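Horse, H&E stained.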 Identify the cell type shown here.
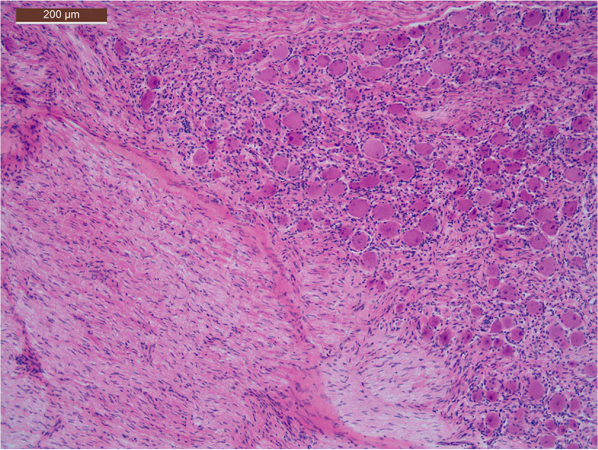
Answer: Ganglion cells.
